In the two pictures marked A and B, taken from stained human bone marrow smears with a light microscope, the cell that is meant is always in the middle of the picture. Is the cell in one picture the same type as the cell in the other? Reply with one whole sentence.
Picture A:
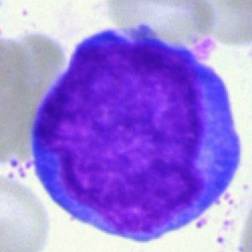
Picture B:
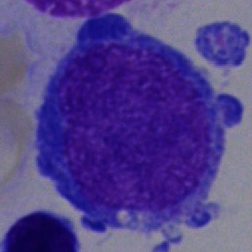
Yes; the cells in both pictures are blasts.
